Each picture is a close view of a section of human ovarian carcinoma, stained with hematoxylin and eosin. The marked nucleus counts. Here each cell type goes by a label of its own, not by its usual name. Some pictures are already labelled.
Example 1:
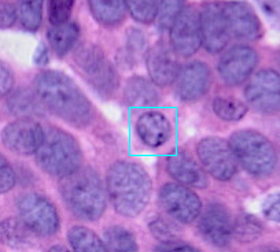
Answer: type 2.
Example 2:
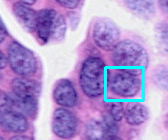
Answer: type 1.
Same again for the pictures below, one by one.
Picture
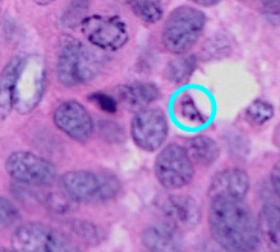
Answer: type 2.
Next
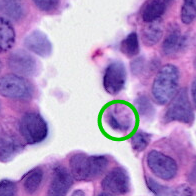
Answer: type 2.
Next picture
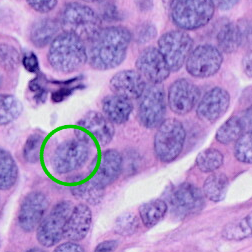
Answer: type 1.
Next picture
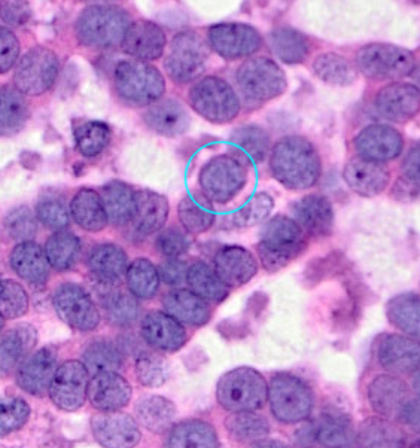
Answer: type 1.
